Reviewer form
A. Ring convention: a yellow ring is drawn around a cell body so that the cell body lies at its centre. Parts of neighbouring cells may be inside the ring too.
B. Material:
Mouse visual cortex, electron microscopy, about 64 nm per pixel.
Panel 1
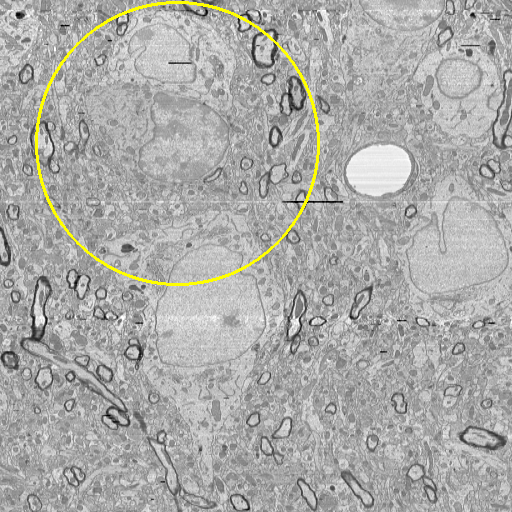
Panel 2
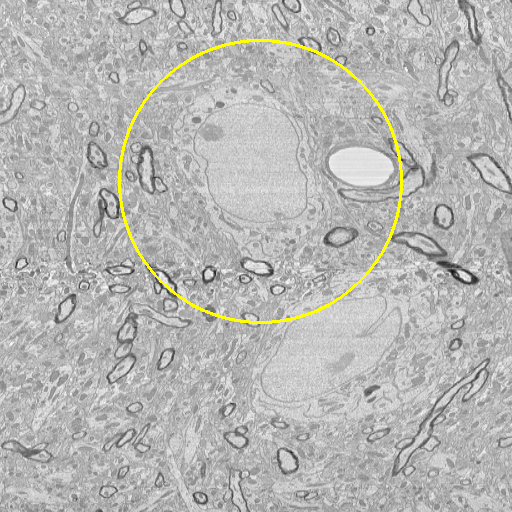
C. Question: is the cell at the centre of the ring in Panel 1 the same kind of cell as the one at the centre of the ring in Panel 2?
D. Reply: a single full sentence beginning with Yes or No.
No, the cells in Panel 1 and Panel 2 are two kinds of cell.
